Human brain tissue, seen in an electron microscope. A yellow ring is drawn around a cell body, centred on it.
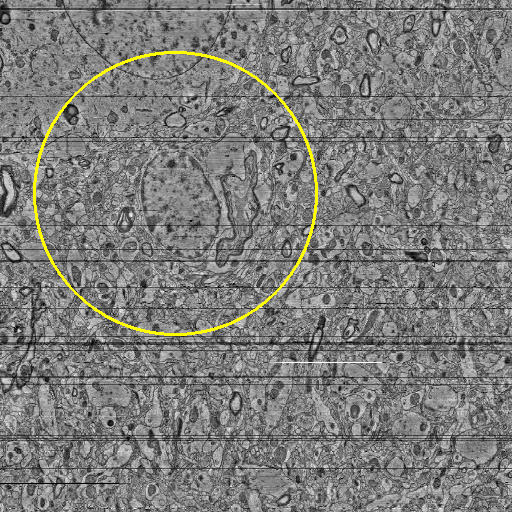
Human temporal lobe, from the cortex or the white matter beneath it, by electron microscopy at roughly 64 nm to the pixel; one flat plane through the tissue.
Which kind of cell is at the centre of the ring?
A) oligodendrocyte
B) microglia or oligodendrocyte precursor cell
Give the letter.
B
